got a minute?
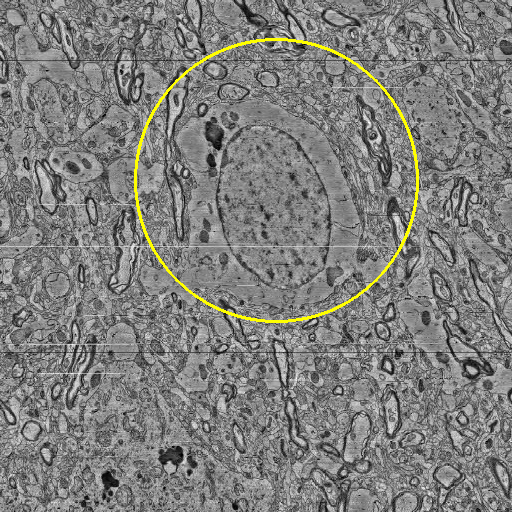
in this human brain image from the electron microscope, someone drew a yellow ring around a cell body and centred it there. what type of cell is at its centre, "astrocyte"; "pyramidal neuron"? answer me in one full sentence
It's an astrocyte at the middle of that yellow ring in the shot.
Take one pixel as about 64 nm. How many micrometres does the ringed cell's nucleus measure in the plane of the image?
In this plane the nucleus is clearly longer than it is wide, at approximately 11 by 7 micrometres.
